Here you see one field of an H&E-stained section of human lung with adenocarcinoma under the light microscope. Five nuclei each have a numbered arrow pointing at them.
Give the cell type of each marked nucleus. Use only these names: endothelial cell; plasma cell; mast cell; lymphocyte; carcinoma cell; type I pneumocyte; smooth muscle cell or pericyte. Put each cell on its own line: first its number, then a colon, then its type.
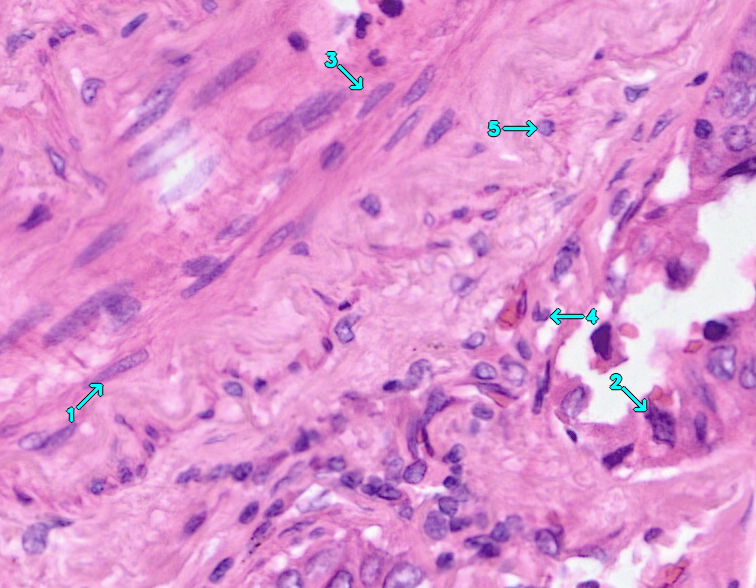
1: smooth muscle cell or pericyte
2: carcinoma cell
3: smooth muscle cell or pericyte
4: lymphocyte
5: smooth muscle cell or pericyte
